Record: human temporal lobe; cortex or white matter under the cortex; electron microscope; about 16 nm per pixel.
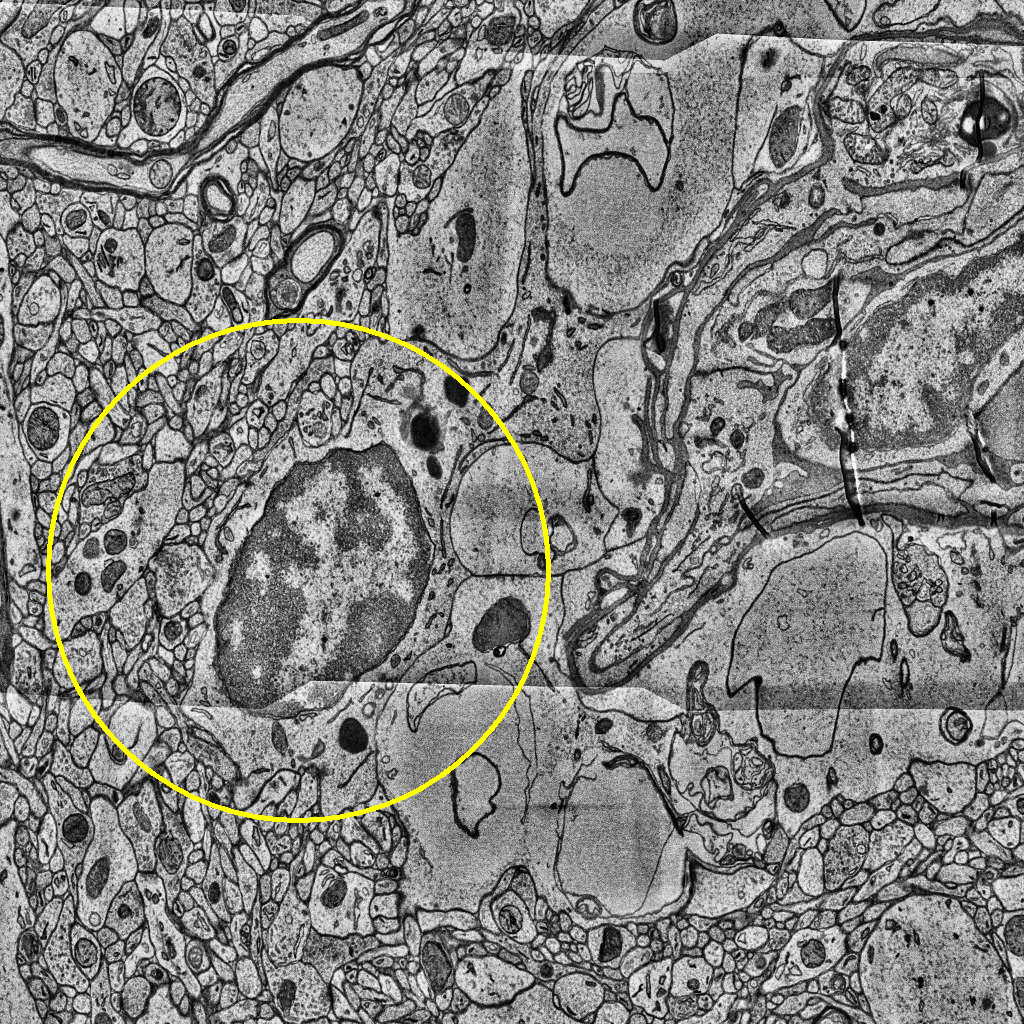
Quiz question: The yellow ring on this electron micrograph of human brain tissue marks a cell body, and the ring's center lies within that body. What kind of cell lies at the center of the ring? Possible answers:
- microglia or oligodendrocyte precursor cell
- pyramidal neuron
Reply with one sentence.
The ring's center lies on a microglial cell or oligodendrocyte precursor cell.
